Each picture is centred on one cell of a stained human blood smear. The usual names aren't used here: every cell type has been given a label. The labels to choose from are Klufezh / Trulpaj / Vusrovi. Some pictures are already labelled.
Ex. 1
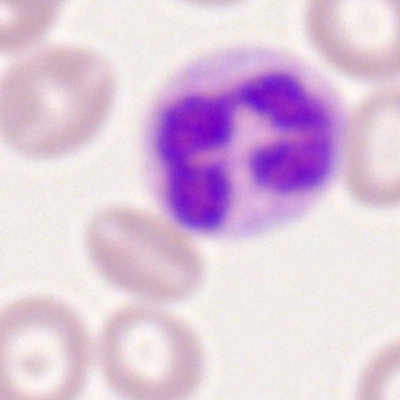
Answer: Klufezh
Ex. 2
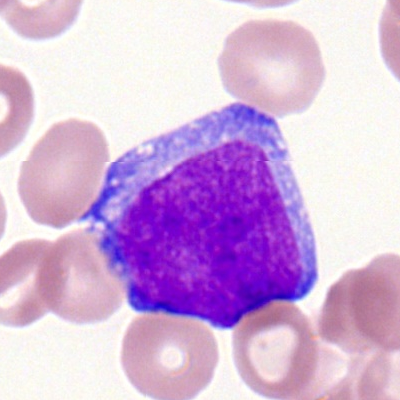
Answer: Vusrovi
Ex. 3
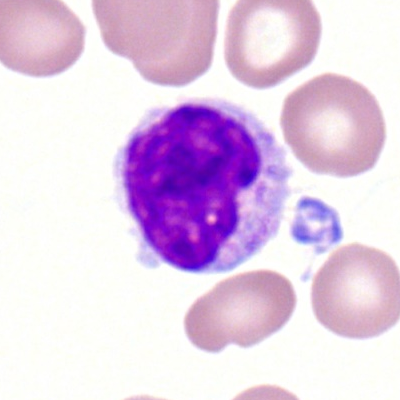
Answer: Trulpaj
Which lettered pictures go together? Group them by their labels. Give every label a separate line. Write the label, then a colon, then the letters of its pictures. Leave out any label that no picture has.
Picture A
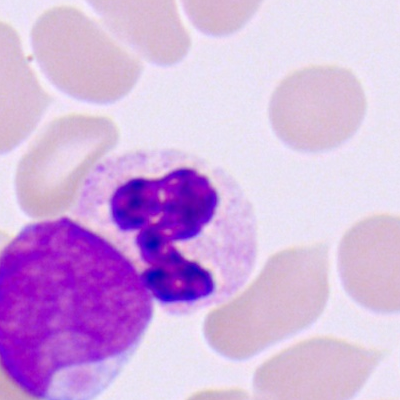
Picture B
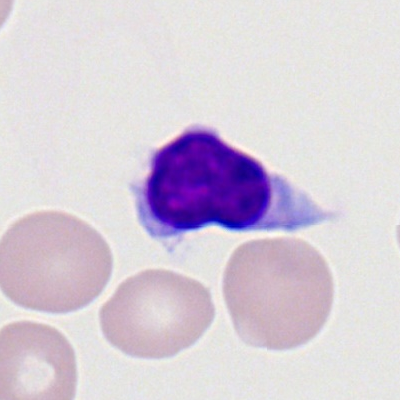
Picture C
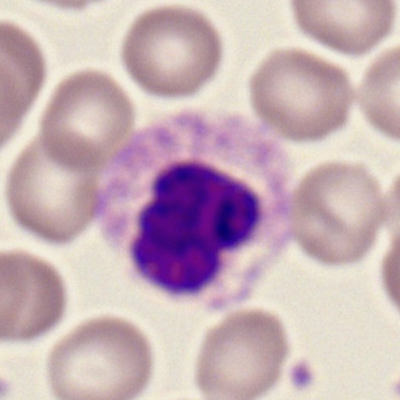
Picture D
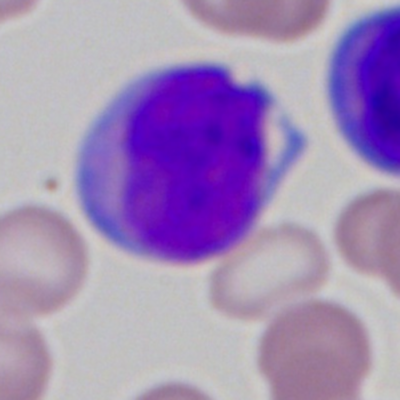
Klufezh: A, C
Trulpaj: B
Vusrovi: D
